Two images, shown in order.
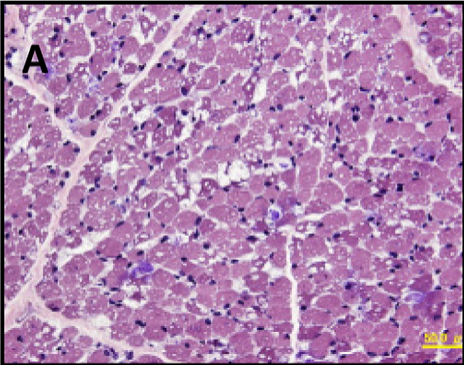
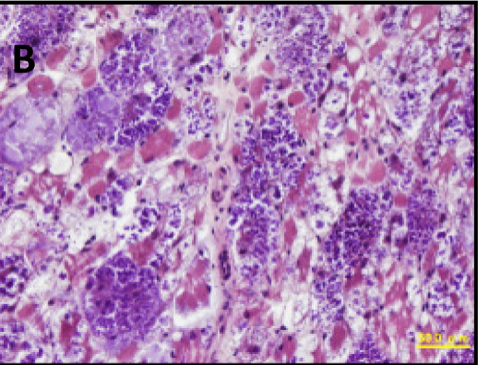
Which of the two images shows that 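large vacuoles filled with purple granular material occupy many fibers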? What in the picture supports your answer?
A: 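First image: fibers are mostly pink and intact, with only small pale spaces and few purplish spots. Second image: many large rounded purple granular masses replace fibers, larger than the remaining pink fibers.
Hence: the second image.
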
